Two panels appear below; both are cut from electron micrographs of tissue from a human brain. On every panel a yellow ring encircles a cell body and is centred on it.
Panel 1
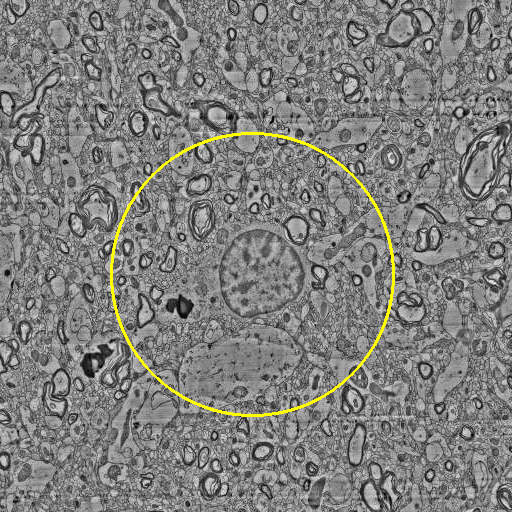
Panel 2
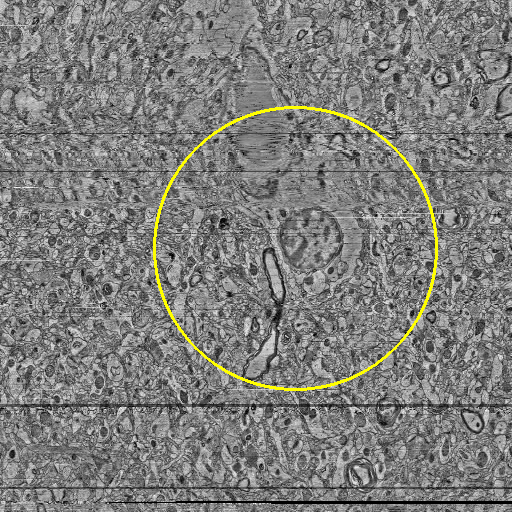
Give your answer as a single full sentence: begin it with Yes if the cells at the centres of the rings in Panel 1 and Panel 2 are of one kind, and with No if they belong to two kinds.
Yes, the cells in the middle of the rings in Panels 1 and 2 are of one kind.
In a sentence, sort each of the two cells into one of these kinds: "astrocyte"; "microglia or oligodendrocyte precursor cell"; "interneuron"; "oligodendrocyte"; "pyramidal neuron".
The cell in the first picture is an oligodendrocyte, and so is the one in the second.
